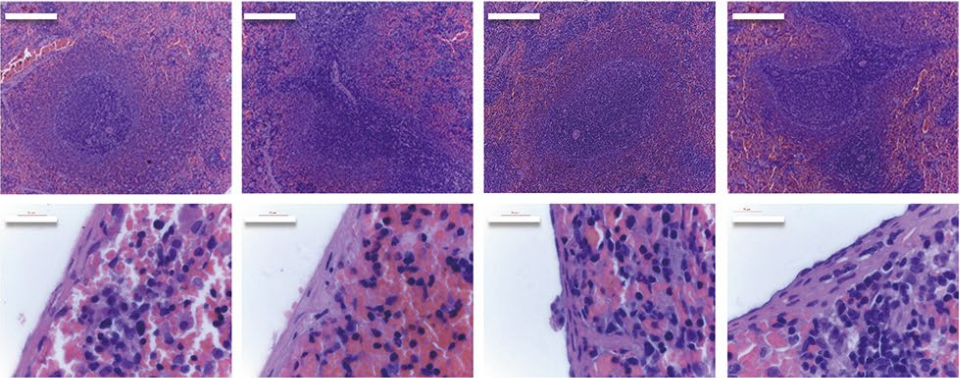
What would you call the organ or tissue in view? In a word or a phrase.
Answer: spleen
